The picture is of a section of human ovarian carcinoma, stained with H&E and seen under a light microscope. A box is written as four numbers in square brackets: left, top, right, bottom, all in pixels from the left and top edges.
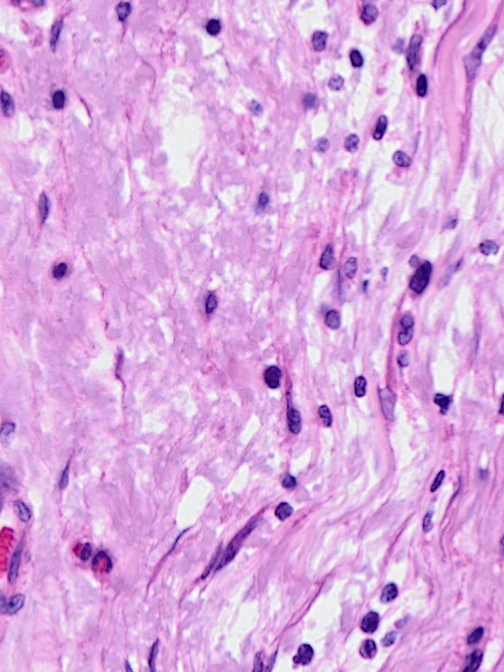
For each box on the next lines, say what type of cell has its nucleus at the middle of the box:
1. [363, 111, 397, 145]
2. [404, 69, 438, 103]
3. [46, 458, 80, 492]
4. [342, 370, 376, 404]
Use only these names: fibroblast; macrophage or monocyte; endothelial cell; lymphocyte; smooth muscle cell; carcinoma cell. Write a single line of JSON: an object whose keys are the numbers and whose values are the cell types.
{"1": "lymphocyte", "2": "lymphocyte", "3": "fibroblast", "4": "lymphocyte"}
